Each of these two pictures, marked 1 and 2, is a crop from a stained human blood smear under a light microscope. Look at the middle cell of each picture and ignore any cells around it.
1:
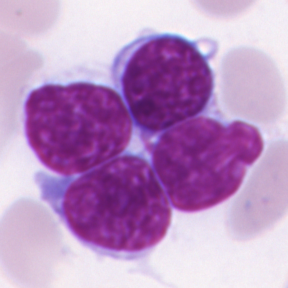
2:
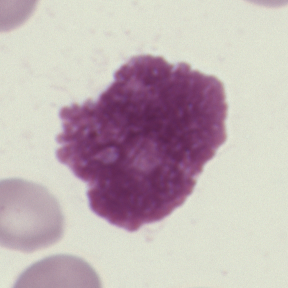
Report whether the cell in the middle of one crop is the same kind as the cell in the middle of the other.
no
